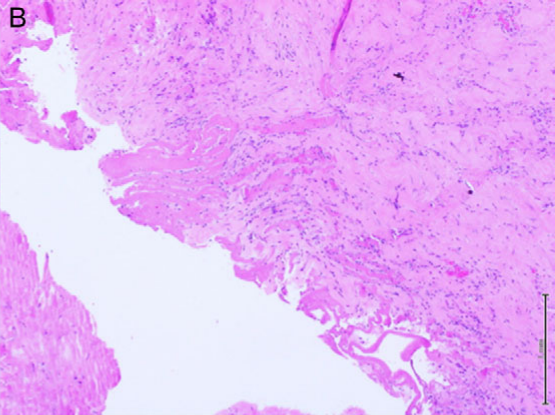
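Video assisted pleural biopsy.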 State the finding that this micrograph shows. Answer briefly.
Fibrinous exudates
